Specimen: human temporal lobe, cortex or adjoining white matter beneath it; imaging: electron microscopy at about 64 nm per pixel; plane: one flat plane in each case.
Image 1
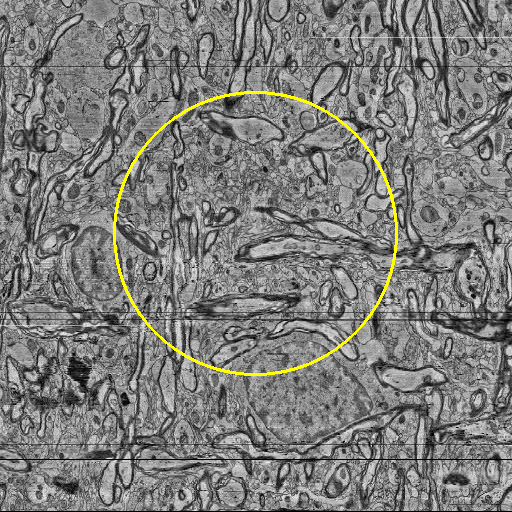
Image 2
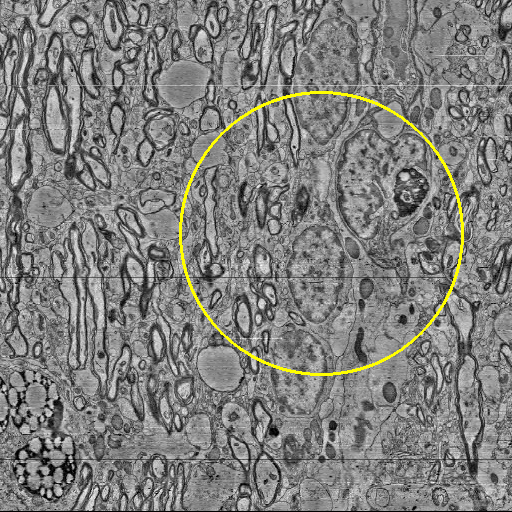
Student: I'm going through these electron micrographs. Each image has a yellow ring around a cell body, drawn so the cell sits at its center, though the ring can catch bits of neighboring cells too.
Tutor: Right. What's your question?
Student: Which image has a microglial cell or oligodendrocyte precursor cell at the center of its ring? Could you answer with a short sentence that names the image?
Image 1 shows it at the center of its ring.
